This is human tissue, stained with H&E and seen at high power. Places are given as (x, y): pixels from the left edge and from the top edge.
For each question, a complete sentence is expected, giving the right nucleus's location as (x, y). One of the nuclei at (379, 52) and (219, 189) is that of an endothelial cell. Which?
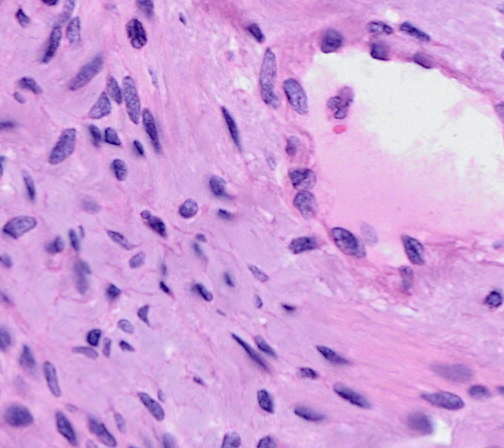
Of the two, the nucleus lying at (379, 52) is the one belonging to an endothelial cell.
